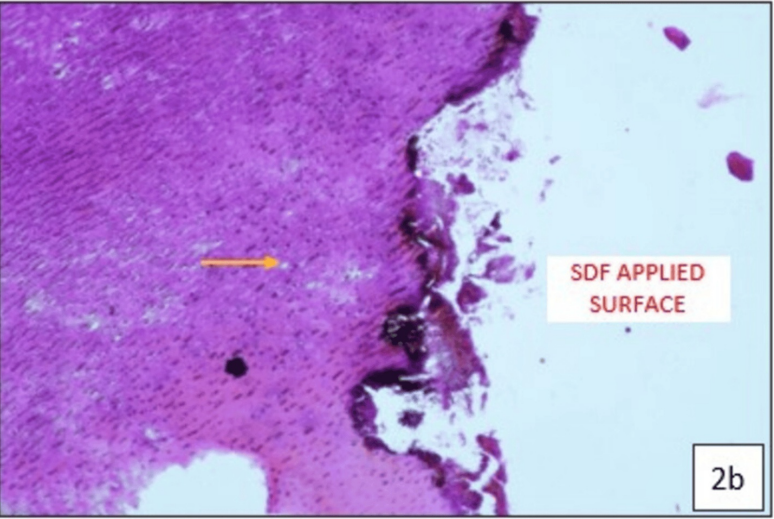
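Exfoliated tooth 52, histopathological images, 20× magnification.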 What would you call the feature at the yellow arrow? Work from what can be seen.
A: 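Dentinal tubules. The arrow points into a hard tissue crossed by many fine, closely spaced, parallel dark lines. The lines run in one direction through the purple-stained tissue without cell nuclei between them.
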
